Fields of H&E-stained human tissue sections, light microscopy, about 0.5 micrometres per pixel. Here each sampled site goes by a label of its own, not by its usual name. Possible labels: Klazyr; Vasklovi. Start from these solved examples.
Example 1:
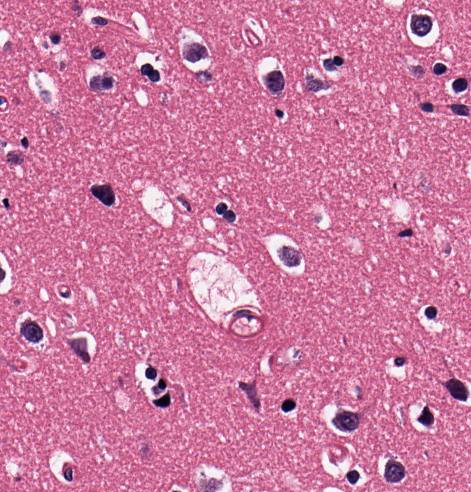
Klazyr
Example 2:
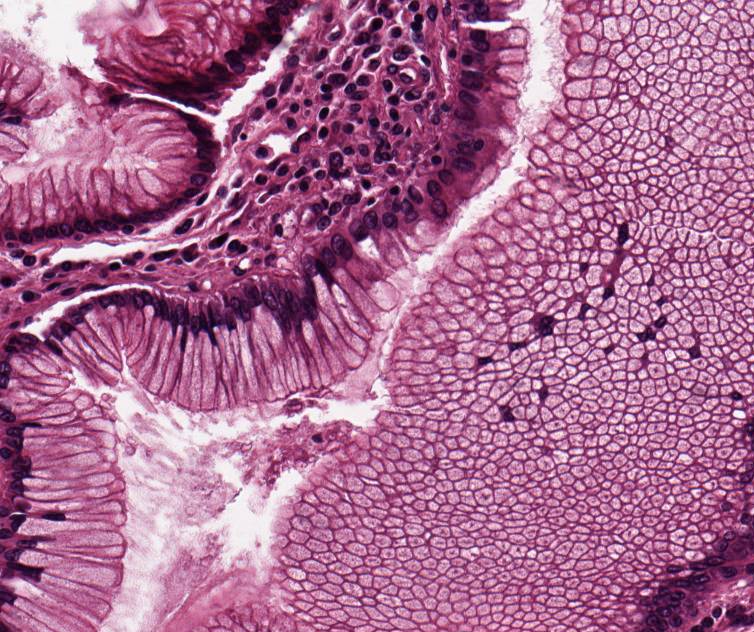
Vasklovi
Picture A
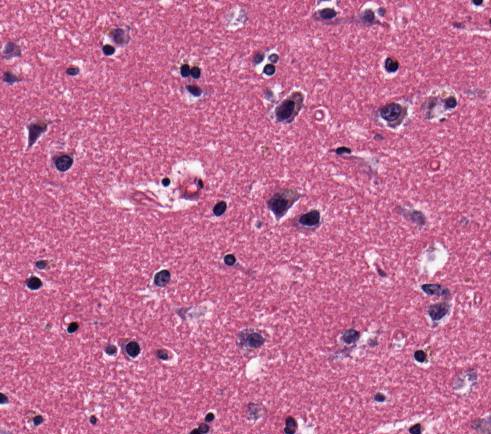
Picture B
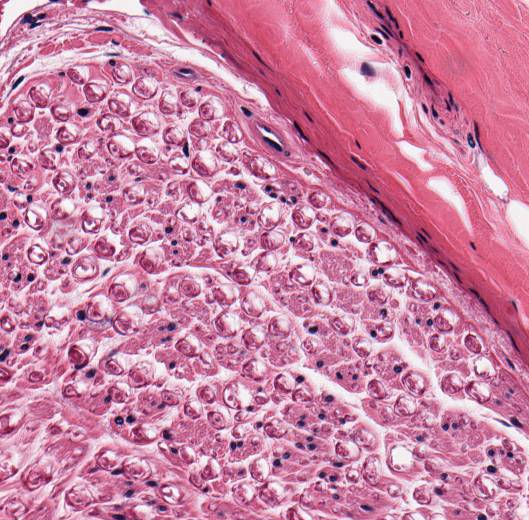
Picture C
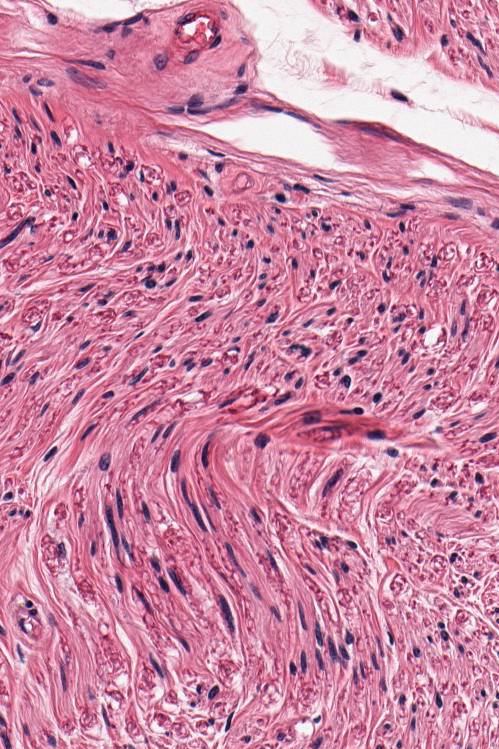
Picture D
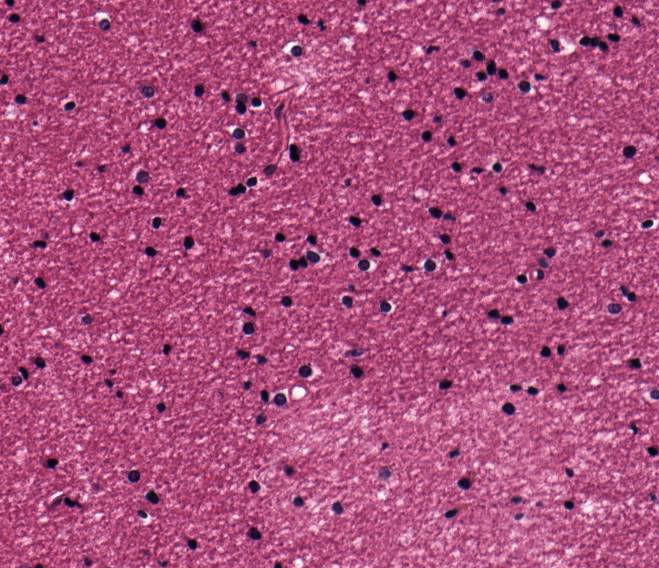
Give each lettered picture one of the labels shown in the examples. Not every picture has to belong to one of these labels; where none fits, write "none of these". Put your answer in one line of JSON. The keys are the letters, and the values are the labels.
{"A": "Klazyr", "B": "none of these", "C": "none of these", "D": "Klazyr"}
